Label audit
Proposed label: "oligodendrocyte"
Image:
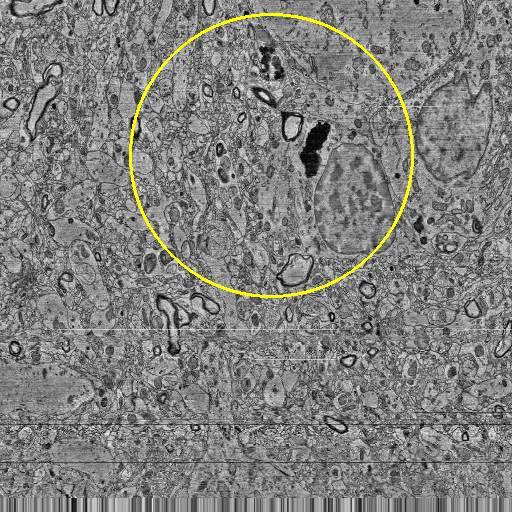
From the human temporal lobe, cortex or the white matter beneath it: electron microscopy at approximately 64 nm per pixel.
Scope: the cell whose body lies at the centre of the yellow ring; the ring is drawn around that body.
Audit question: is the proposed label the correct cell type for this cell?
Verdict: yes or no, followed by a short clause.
Yes, the label fits this cell.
